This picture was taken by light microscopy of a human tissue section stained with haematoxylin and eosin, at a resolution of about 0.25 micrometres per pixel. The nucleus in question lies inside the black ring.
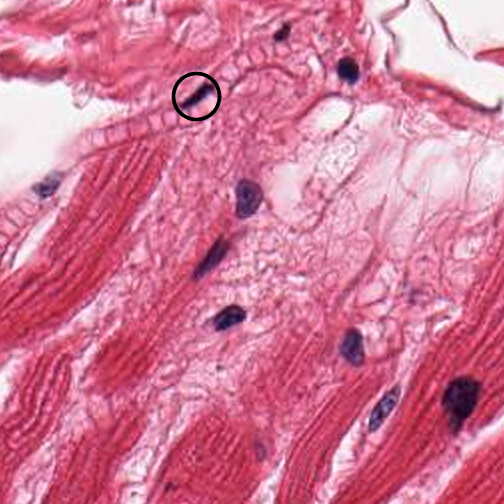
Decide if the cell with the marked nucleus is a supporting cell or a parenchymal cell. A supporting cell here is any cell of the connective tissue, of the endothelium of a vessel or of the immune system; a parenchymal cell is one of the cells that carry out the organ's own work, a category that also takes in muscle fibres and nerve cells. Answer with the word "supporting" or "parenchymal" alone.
supporting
